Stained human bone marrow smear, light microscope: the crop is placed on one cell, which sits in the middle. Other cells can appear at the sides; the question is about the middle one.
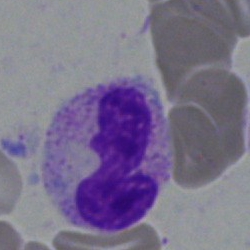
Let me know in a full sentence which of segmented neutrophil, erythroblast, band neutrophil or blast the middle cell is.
The central element of this crop is a cell, namely a band neutrophil.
